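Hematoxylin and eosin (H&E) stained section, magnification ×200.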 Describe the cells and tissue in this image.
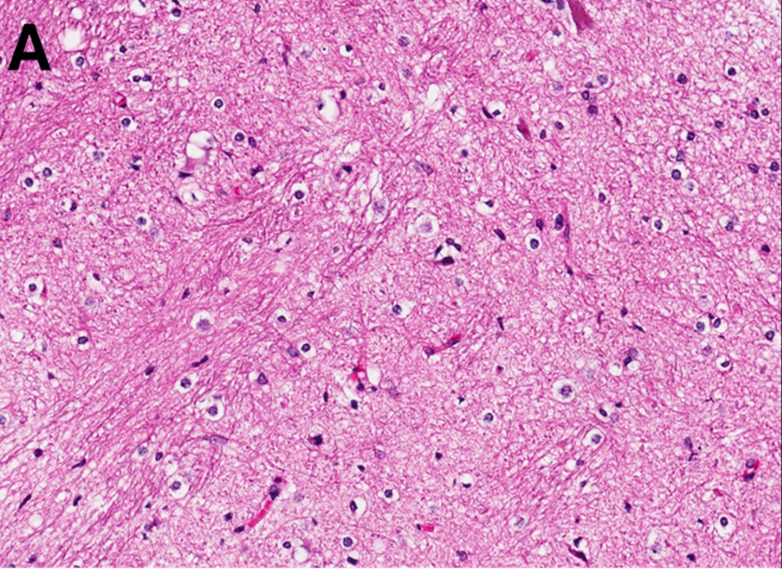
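A pale pink fibrillary tissue shows edematous changes, with a loosened, vacuolated matrix and many small clear spaces. Small round nuclei are sparsely and evenly scattered, many surrounded by clear halos. A few thin blood vessels with red blood cells run through the field, with only a few cells lying near them and no dense clusters.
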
